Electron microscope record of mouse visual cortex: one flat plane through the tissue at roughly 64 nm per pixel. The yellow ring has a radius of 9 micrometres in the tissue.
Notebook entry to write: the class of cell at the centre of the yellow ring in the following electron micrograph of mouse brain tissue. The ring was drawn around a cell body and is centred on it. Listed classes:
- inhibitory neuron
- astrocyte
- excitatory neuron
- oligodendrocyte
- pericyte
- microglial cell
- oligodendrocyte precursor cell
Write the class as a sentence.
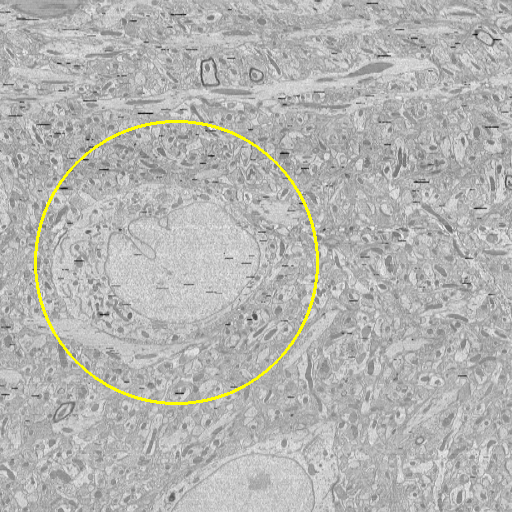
The yellow ring sits on an inhibitory neuron.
